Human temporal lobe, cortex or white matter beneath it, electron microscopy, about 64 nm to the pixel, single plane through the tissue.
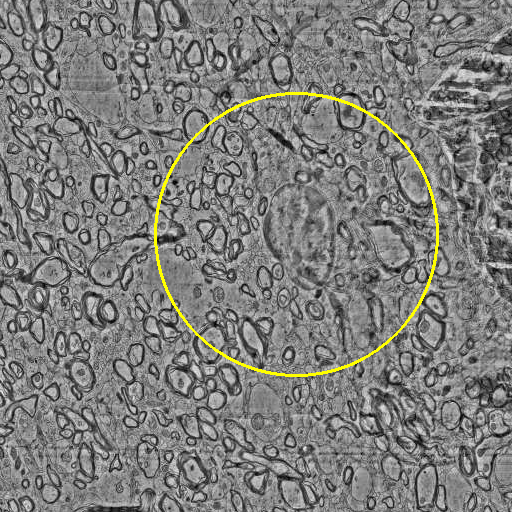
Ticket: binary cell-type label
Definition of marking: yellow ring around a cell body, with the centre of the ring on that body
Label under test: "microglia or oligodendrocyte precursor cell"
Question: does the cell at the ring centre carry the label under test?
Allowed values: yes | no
yes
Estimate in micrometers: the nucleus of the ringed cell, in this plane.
In this plane the nucleus is roughly 7 by 4 micrometres, clearly longer than it is wide.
